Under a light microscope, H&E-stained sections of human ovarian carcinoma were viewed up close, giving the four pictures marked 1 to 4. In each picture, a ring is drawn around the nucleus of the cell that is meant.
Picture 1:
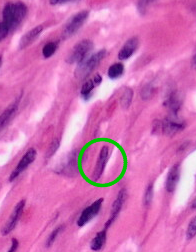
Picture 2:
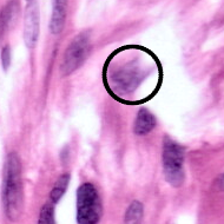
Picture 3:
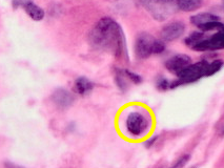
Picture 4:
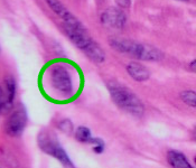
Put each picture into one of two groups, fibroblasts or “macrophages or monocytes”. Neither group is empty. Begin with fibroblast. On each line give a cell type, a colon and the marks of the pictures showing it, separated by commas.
fibroblast: 1, 2, 4
macrophage or monocyte: 3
